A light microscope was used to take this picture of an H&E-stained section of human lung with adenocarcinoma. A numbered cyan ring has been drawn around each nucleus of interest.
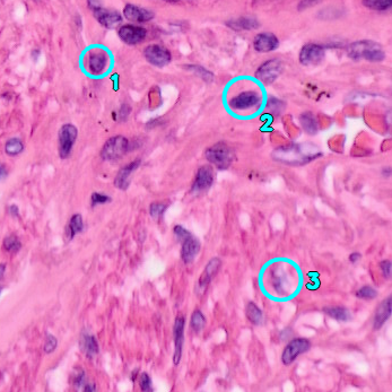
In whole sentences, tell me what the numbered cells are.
Cell 1 is a plasma cell. Cell 2 is a lymphocyte. Cell 3 is a smooth muscle cell or pericyte.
